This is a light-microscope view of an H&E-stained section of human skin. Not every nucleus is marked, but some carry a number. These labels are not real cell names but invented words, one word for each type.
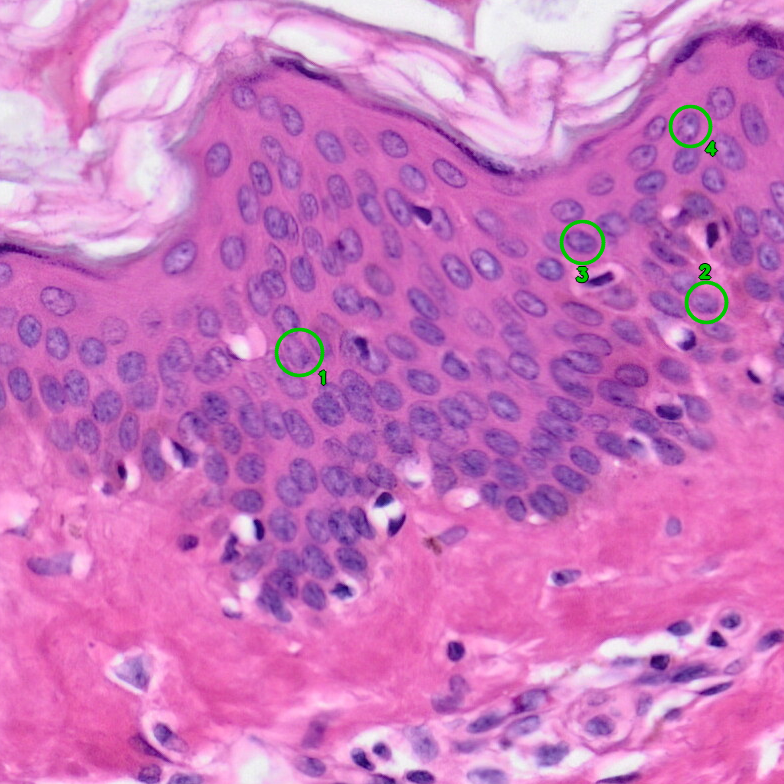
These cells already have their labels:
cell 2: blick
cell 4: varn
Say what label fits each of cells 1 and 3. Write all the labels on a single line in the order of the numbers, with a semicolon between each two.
varn; varn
